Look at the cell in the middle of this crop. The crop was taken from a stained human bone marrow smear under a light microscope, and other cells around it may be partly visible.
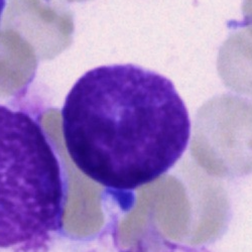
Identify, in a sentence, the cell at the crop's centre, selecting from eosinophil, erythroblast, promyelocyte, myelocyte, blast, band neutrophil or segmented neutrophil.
What sits at the centre of this crop is a blast.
